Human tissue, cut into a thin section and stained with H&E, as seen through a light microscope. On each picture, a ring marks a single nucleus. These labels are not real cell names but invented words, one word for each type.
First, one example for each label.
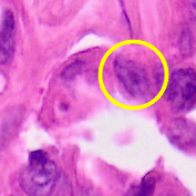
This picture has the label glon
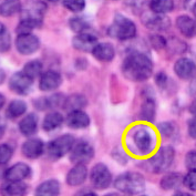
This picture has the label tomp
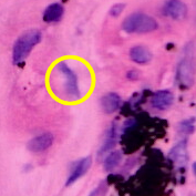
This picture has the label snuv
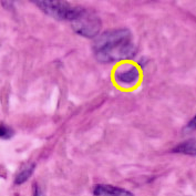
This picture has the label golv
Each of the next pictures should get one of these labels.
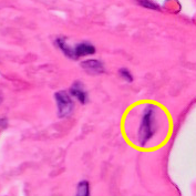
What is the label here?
snuv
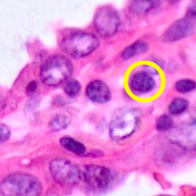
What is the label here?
tomp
